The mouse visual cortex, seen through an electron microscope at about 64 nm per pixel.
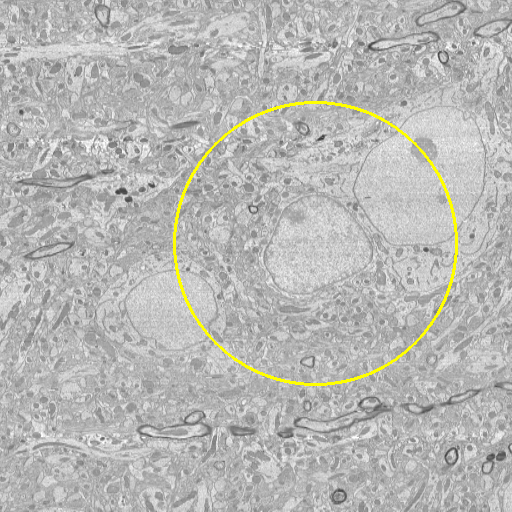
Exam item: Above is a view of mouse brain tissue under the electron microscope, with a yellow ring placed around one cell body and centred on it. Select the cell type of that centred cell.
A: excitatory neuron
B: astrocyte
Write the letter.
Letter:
B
